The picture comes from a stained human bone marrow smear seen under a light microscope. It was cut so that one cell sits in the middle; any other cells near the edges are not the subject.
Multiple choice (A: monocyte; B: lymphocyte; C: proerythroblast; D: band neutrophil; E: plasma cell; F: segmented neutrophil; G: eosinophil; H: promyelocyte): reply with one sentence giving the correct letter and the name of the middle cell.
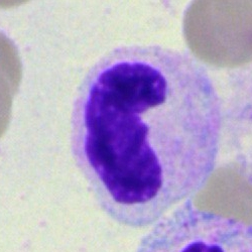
Option D is correct; the cell in the middle is a band neutrophil.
